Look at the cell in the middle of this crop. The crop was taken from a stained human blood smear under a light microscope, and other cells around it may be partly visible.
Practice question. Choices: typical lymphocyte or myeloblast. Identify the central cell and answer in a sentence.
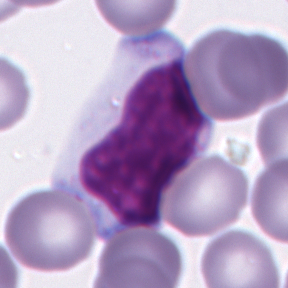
Located at the centre of the crop is a typical lymphocyte.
